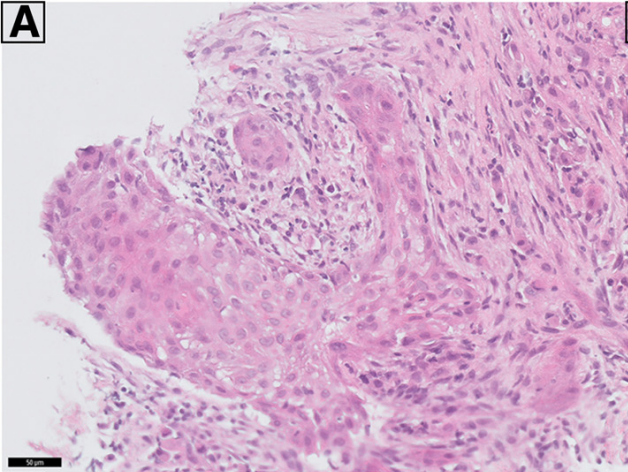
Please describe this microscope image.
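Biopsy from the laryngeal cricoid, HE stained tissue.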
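Tumor tissue with solid nests and sheets of large polygonal epithelial cells with abundant pink cytoplasm and oval nuclei, resembling squamous epithelium. The nests are separated by a cellular stroma of spindle-shaped cells and scattered small dark inflammatory cells, and some nests have pinker, more densely eosinophilic centres.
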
